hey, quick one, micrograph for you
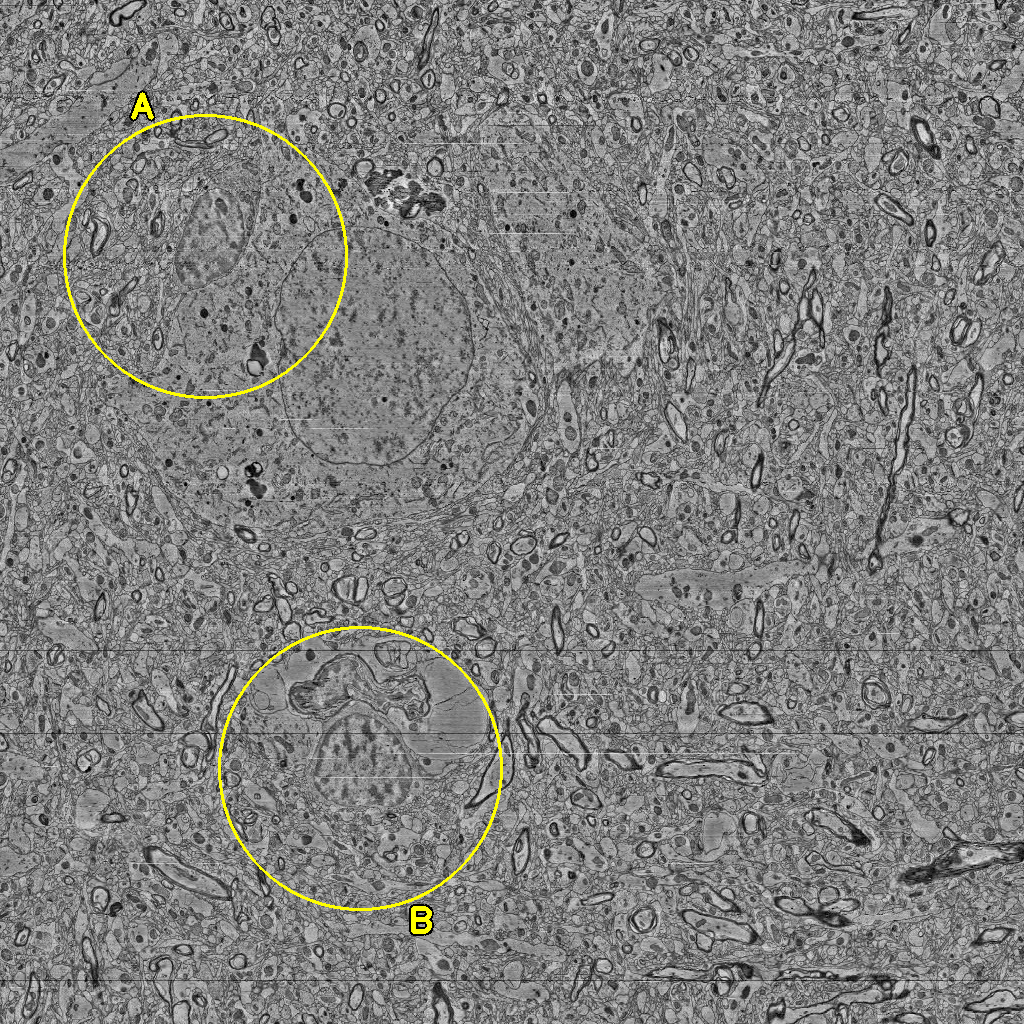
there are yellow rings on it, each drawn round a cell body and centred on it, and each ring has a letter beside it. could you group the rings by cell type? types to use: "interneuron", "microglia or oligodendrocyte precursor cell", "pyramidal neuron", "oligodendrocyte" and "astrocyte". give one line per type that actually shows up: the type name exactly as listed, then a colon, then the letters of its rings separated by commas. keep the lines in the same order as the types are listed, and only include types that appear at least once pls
oligodendrocyte: A, B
